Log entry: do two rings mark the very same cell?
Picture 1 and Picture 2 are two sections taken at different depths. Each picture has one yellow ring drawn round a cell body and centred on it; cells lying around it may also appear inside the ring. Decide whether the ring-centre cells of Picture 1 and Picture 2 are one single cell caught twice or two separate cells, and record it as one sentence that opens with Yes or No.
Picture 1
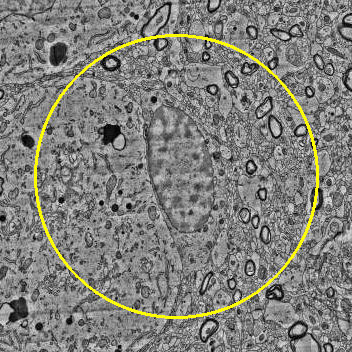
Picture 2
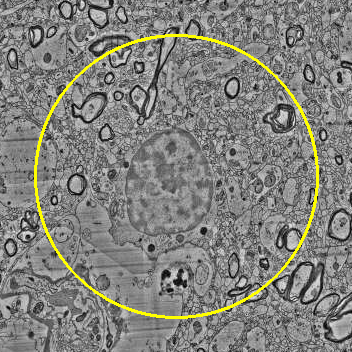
No, the rings mark two cells rather than a single cell.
